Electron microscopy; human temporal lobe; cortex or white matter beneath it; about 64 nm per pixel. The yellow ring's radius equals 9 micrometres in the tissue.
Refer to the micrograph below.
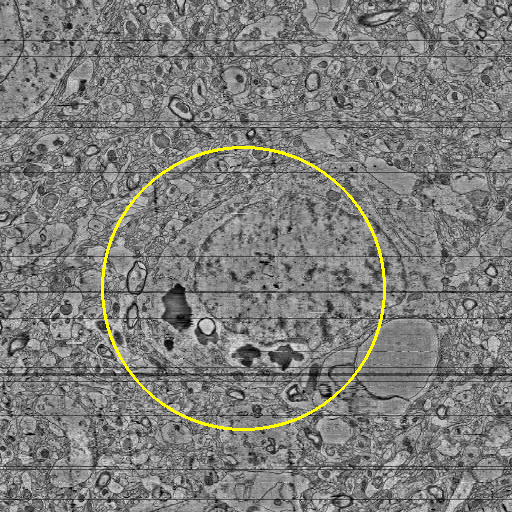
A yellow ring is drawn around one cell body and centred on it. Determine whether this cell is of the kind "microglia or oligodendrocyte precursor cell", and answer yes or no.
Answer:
no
